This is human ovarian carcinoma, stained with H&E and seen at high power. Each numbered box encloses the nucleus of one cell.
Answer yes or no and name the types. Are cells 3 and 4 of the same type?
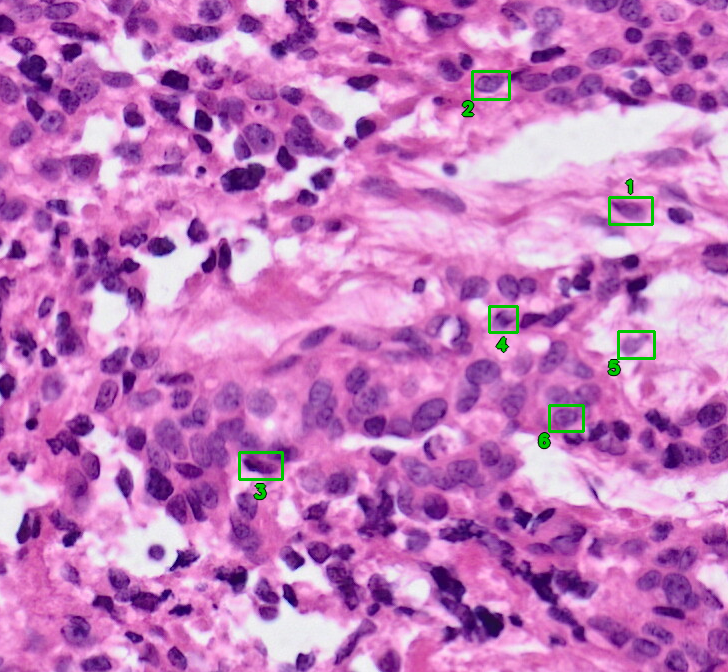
No, the cell bearing number 3 is a carcinoma cell, while the one bearing number 4 is a macrophage or monocyte.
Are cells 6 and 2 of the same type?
No, cell 6 is interpreted as a carcinoma cell, and cell 2 is interpreted as a macrophage or monocyte.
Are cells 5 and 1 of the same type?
Yes, cells 5 and 1 are of one type, both being fibroblasts.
